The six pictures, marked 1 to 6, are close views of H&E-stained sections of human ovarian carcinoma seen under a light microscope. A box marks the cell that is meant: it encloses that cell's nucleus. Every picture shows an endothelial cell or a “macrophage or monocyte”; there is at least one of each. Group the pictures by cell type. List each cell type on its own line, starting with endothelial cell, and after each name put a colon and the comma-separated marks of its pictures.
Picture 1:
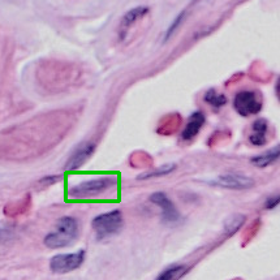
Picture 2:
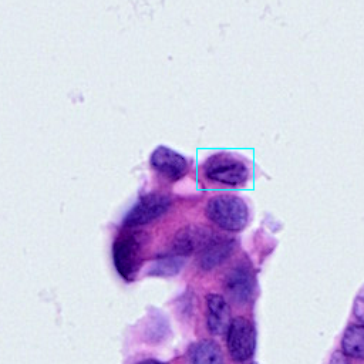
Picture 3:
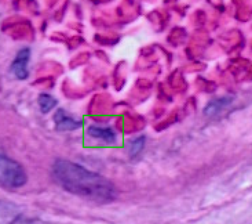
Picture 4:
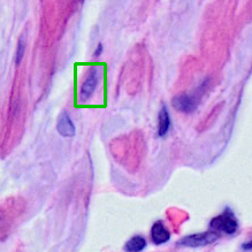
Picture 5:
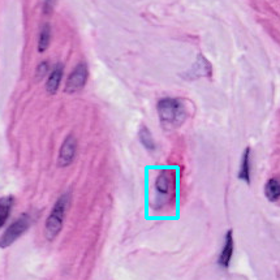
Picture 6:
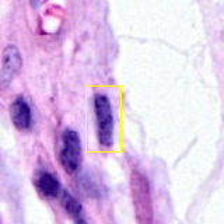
endothelial cell: 1, 3, 4, 5
macrophage or monocyte: 2, 6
